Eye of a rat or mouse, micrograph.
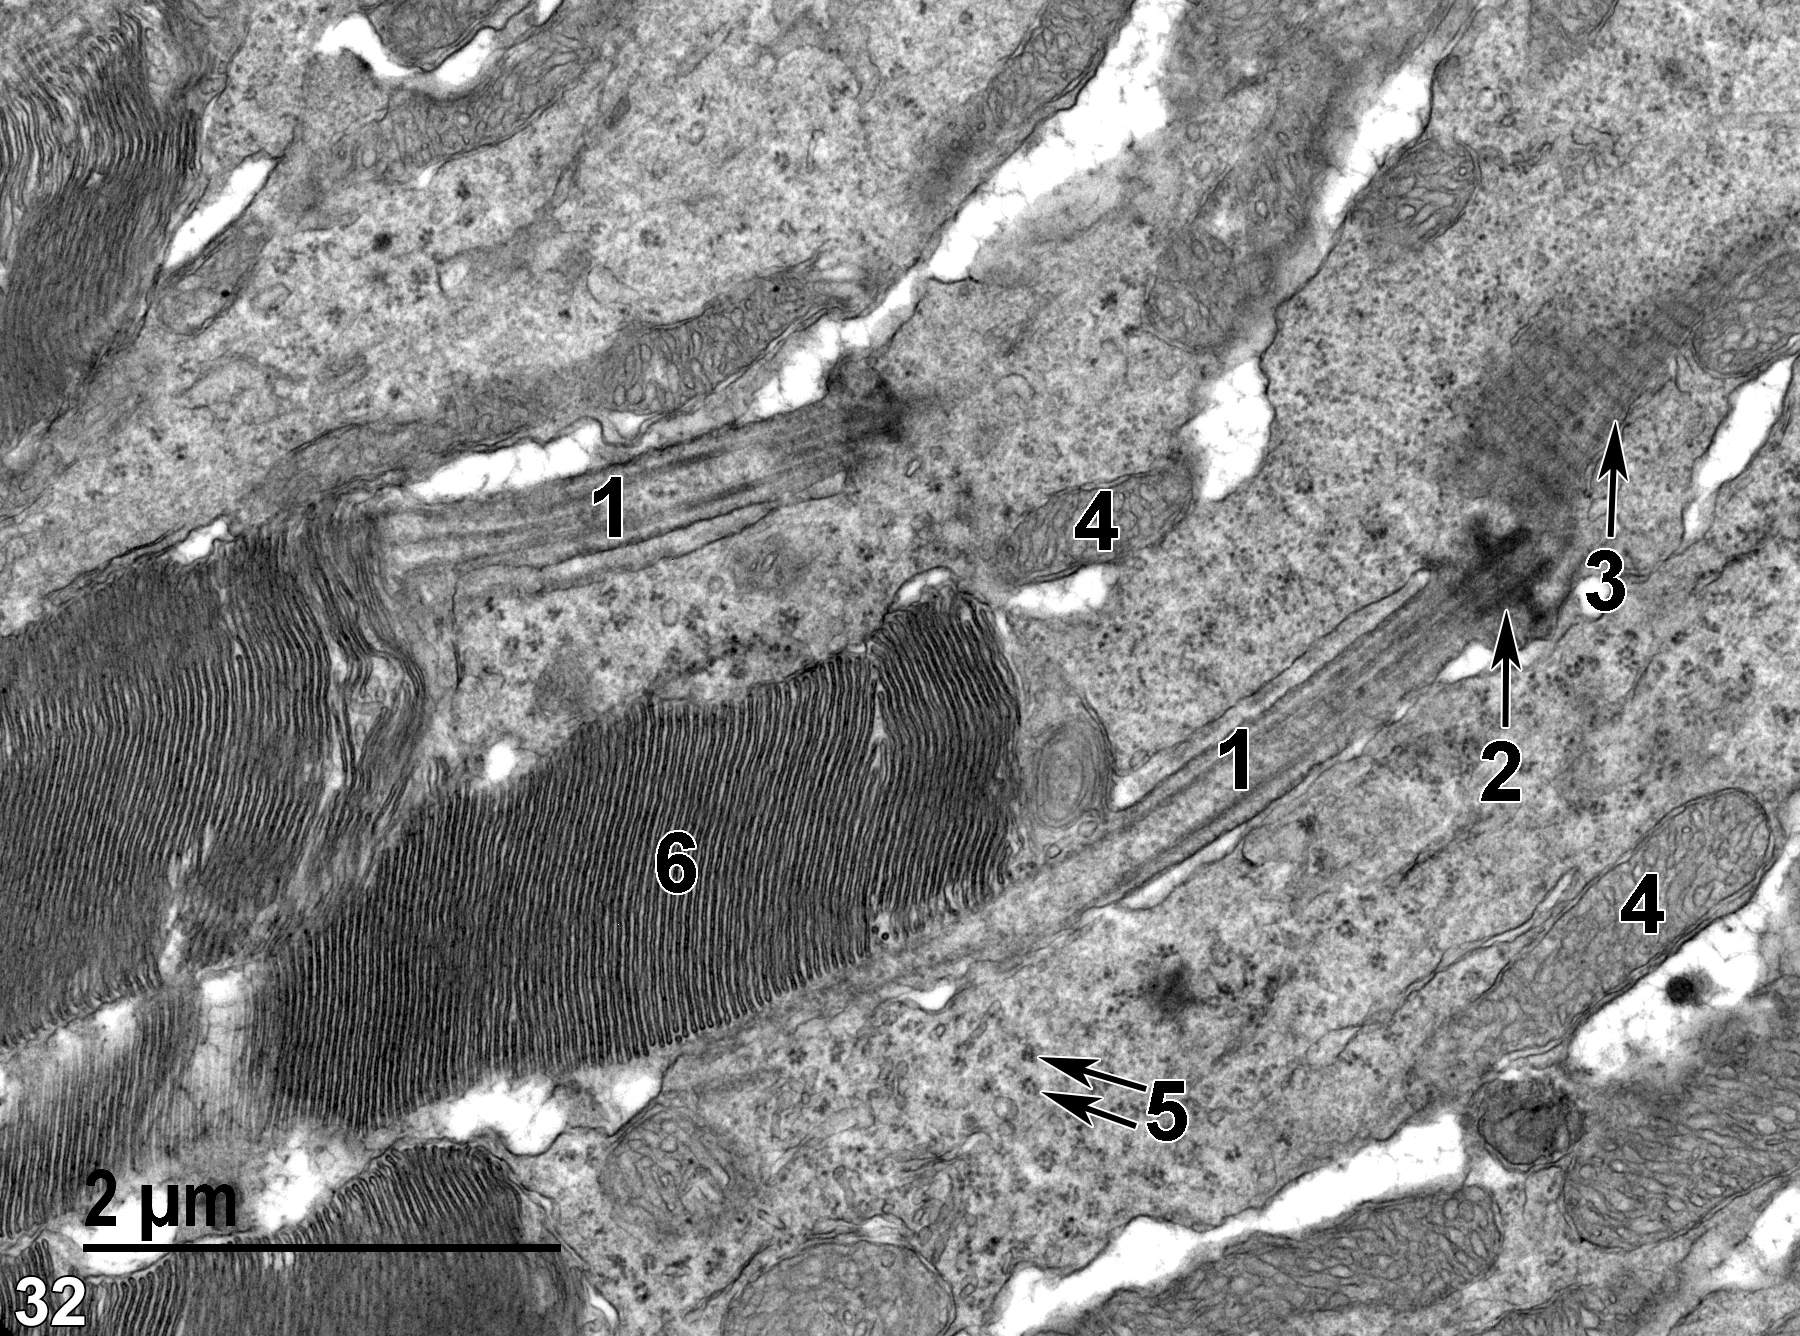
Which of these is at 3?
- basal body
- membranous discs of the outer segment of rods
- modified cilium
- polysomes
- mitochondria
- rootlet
rootlet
